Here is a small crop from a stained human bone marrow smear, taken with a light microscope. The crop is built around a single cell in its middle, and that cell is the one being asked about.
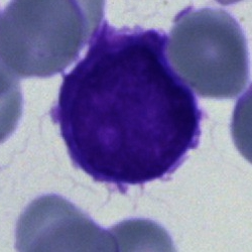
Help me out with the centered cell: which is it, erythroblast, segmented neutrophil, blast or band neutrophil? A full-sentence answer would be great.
The centrally positioned cell in the crop represents a blast.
